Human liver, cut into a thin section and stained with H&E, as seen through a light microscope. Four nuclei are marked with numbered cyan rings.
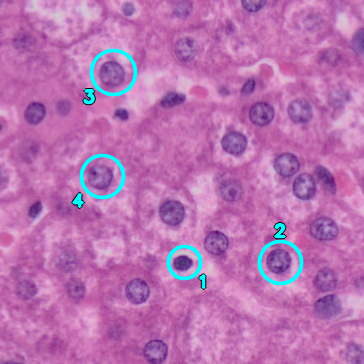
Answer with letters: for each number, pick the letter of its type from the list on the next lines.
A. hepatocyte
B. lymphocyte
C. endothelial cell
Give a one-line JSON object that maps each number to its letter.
{"1": "B", "2": "A", "3": "A", "4": "A"}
